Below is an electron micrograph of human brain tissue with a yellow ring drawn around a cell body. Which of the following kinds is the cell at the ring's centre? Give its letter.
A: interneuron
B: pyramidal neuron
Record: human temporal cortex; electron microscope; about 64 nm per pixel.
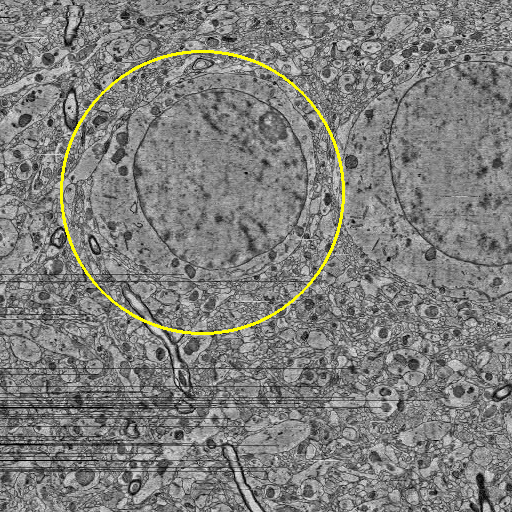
B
